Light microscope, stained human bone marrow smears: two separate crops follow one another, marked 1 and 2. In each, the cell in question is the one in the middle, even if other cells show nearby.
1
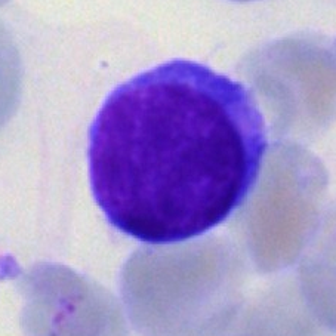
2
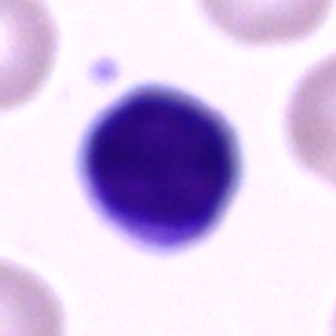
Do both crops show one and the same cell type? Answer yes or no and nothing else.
yes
